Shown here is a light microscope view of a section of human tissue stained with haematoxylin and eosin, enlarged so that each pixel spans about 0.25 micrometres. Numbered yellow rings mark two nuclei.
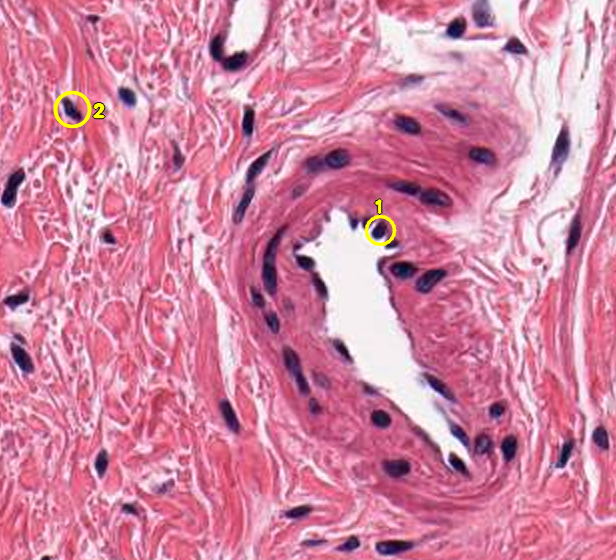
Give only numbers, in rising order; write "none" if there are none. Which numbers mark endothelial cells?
1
